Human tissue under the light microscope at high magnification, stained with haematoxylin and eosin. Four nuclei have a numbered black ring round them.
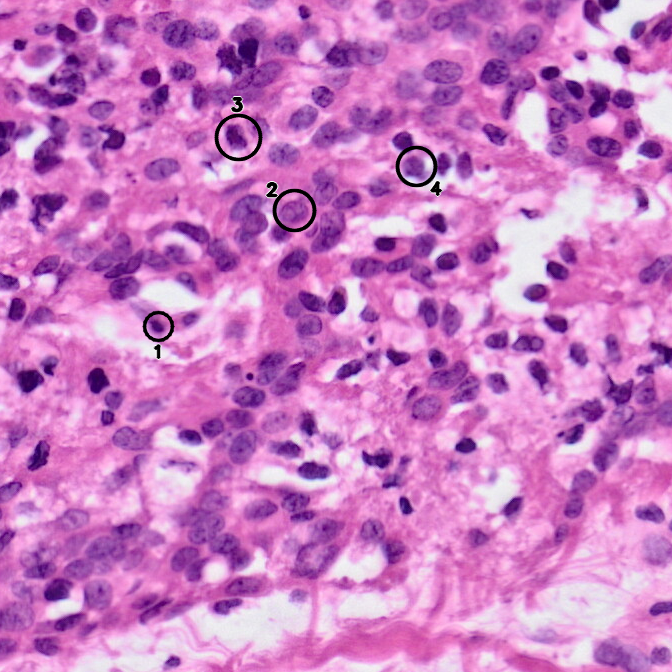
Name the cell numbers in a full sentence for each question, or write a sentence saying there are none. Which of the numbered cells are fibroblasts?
Among the numbered cells, a fibroblast occurs only once, as cell 1.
